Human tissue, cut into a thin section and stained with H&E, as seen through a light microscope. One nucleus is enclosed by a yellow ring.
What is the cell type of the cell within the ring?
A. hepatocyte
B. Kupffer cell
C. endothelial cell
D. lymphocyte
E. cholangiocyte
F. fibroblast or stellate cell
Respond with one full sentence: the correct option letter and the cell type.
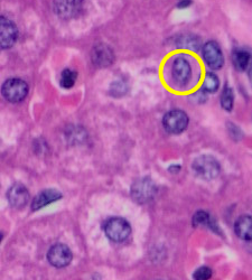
The correct option is E, and the cell within the ring is a cholangiocyte.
